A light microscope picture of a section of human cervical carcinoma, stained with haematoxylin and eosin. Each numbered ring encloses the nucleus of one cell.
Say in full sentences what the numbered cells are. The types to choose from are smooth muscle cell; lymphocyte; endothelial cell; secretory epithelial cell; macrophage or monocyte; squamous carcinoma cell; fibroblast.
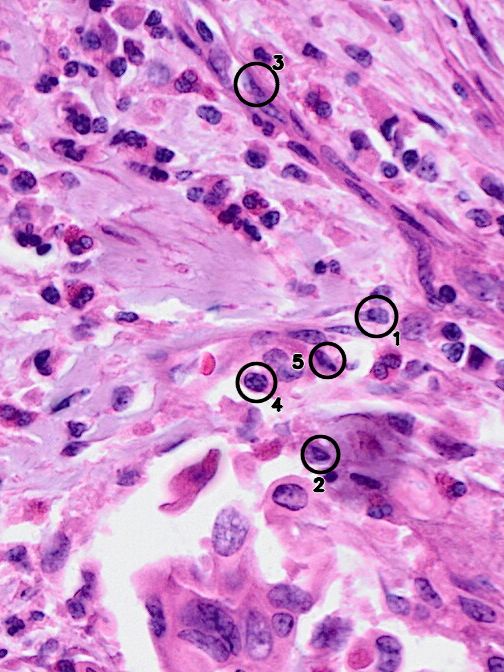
Cells 1 and 4 are lymphocytes. Cells 2 and 5 are macrophages or monocytes. Cell 3 is an endothelial cell.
